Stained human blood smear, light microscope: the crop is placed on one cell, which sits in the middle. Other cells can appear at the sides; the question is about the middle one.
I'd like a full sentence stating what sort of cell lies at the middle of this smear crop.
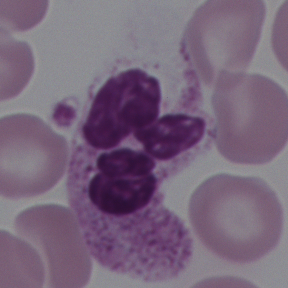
This crop has a segmented neutrophil at its centre.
